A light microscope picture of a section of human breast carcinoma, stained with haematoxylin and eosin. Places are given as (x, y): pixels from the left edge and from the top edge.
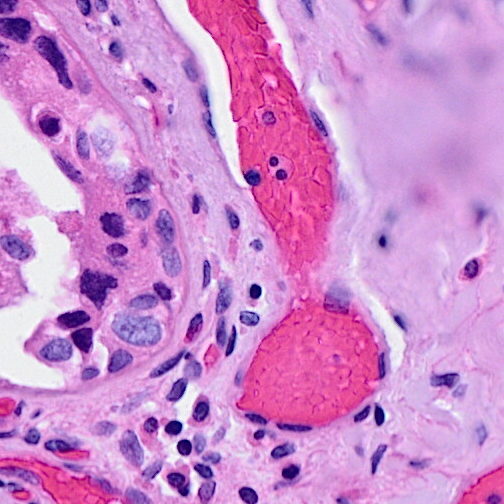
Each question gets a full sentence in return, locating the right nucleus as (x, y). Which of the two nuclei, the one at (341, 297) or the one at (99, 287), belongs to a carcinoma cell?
The correct choice is the nucleus at (99, 287), which belongs to a carcinoma cell.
